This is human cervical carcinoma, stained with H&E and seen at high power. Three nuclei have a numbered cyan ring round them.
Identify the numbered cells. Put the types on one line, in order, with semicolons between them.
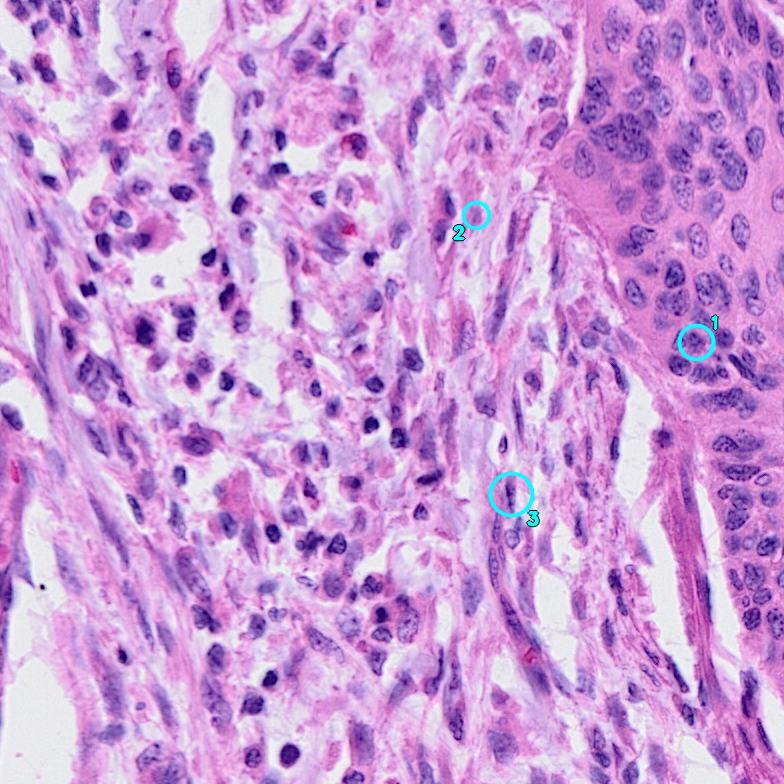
squamous carcinoma cell; fibroblast; fibroblast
